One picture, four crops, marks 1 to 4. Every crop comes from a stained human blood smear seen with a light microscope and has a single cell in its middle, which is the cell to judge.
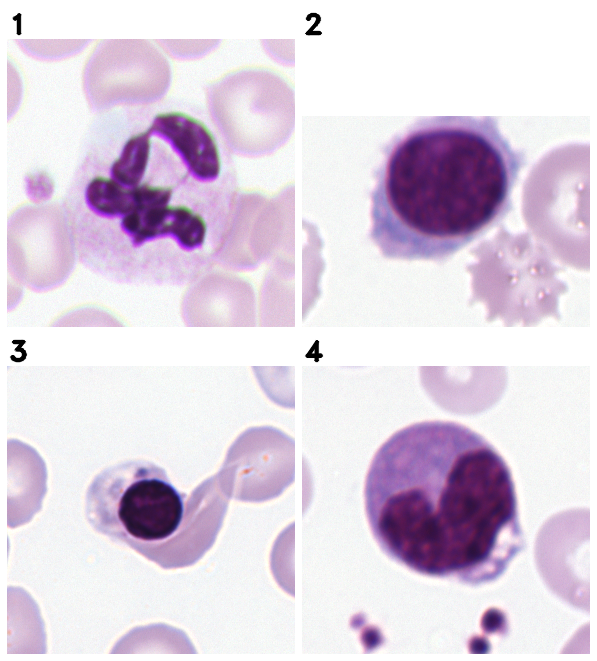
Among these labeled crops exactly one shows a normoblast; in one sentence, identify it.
That would be crop 3; it shows a normoblast.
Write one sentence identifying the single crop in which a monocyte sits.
The crop that has a monocyte in the middle is crop 4.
